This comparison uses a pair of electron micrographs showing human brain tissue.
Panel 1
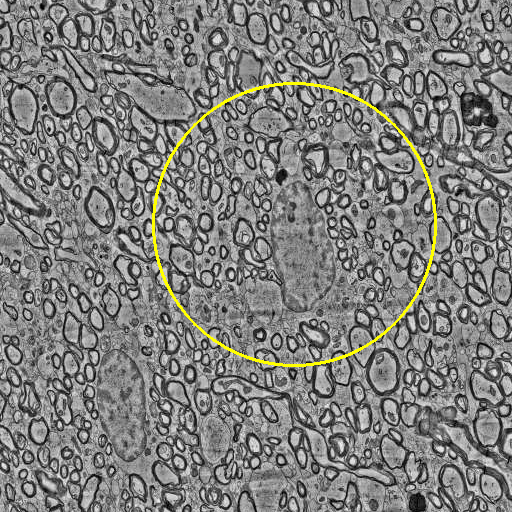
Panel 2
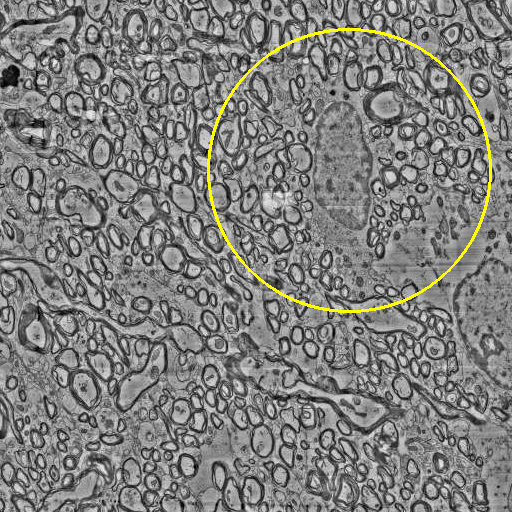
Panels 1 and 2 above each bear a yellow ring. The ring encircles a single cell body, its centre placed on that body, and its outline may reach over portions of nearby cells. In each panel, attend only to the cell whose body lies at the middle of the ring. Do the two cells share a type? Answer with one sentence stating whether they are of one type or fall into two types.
In Panel 1 and Panel 2, the cells at the centres of the rings are of one type.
